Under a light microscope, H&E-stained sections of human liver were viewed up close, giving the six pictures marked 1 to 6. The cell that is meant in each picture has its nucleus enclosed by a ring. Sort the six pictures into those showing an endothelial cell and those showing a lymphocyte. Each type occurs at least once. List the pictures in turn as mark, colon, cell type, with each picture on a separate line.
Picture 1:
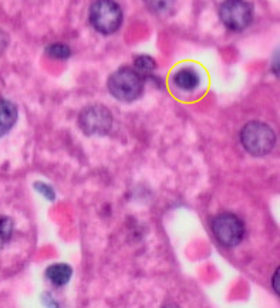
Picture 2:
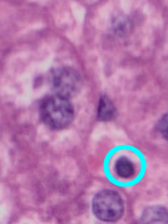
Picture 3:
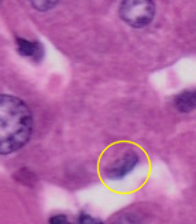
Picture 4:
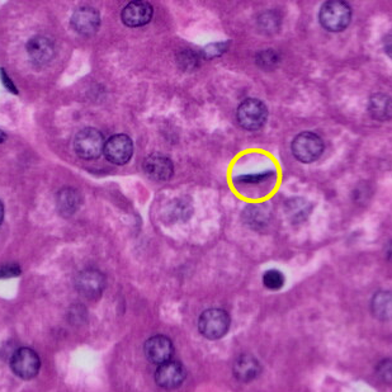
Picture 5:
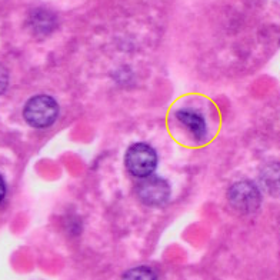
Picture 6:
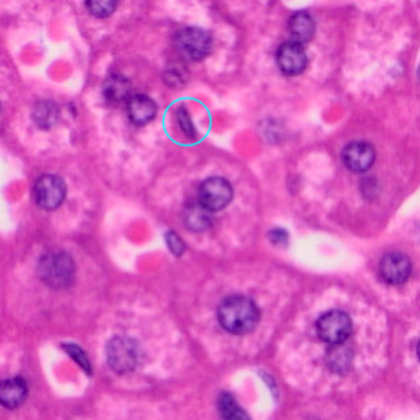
1: lymphocyte
2: lymphocyte
3: endothelial cell
4: endothelial cell
5: endothelial cell
6: endothelial cell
